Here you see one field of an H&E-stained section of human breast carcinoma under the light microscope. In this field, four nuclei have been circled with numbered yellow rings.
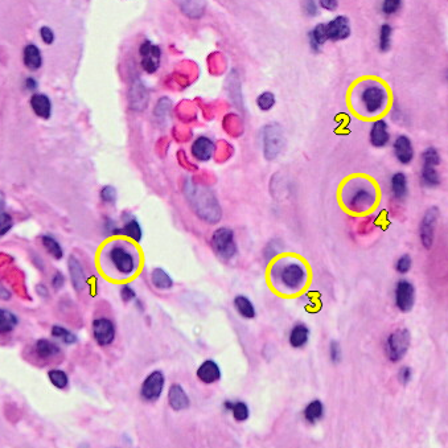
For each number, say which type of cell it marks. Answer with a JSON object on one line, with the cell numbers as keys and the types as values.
{"1": "lymphocyte", "2": "lymphocyte", "3": "lymphocyte", "4": "endothelial cell"}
